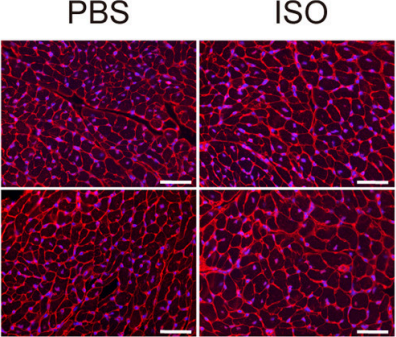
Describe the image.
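These are cross-sectioned cardiomyocytes of heart muscle, each fibre seen as a polygonal profile outlined by a thin red border. The profiles fit closely together in a mosaic, with little space between neighbouring fibres. Small purple-blue nuclei lie within some profiles and in the narrow spaces between them. The four fields show the same tightly packed arrangement, with fibre profiles of broadly similar polygonal shape.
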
